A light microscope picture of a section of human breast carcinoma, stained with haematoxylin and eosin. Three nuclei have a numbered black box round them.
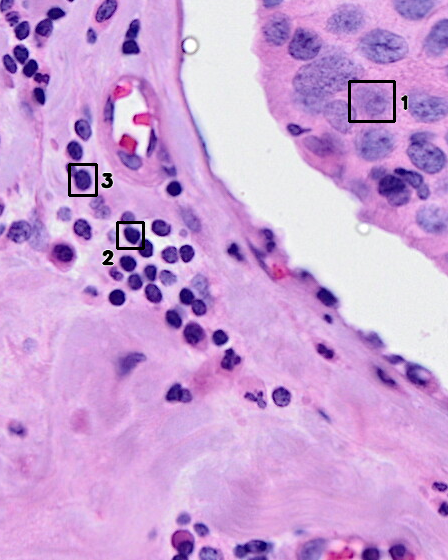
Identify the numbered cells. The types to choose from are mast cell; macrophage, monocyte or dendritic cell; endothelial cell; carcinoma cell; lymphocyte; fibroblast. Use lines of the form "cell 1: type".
cell 1: carcinoma cell
cell 2: lymphocyte
cell 3: lymphocyte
